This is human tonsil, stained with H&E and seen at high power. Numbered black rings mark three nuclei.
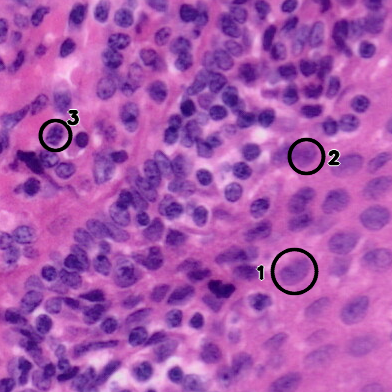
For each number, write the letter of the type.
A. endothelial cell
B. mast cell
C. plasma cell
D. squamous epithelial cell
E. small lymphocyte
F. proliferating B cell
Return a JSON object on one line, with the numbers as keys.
{"1": "D", "2": "D", "3": "C"}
